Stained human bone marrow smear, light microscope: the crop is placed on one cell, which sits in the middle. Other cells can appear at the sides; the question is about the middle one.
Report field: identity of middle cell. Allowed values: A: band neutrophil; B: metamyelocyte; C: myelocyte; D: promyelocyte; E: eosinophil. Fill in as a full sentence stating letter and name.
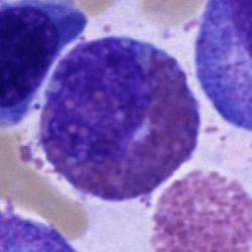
Well, the cell in the middle is an eosinophil, making option E right.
